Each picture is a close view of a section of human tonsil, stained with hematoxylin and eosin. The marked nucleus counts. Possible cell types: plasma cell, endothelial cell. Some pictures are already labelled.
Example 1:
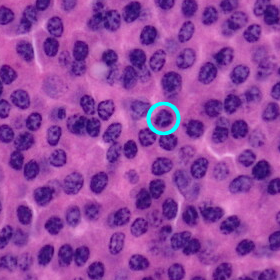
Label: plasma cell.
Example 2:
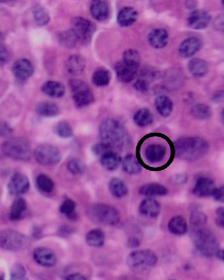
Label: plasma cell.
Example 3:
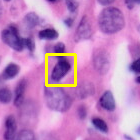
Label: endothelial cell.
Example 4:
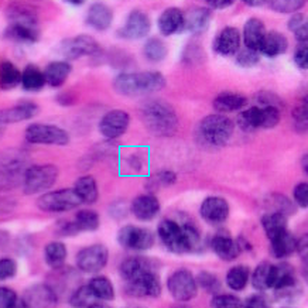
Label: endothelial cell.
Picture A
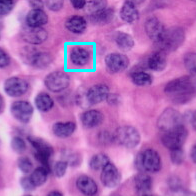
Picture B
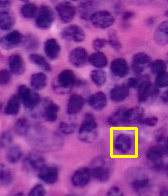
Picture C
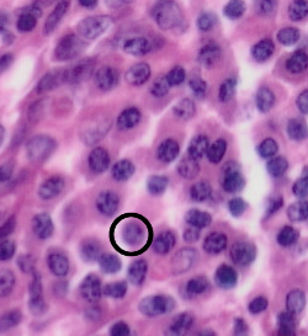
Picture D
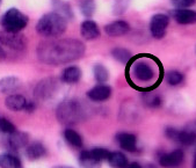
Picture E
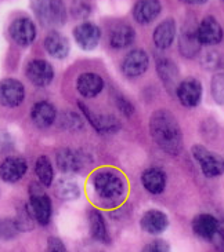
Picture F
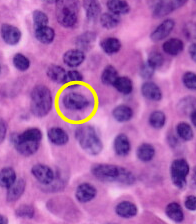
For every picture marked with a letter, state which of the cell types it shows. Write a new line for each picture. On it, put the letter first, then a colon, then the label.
A: plasma cell.
B: plasma cell.
C: plasma cell.
D: endothelial cell.
E: plasma cell.
F: plasma cell.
